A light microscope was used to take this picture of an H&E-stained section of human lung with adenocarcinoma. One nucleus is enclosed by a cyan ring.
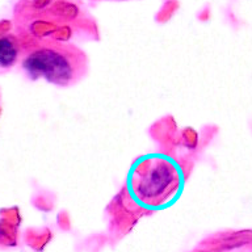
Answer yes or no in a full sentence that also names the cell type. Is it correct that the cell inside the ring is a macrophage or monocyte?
Yes, to put it simply, the cell inside the ring is a macrophage or monocyte.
